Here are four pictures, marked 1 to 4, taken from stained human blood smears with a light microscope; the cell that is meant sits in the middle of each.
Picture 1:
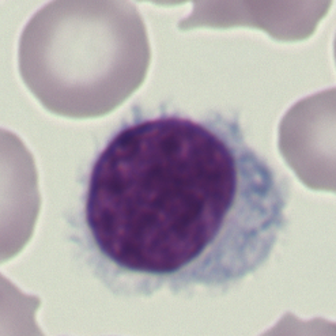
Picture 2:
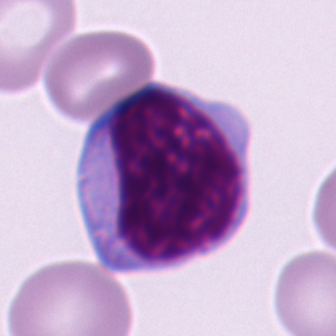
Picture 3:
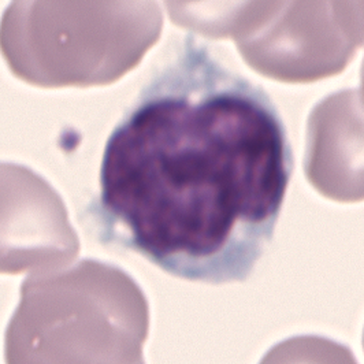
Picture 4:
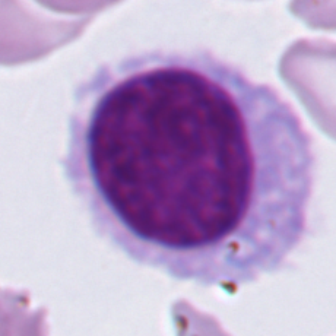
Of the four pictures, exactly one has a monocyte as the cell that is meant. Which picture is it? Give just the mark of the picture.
3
